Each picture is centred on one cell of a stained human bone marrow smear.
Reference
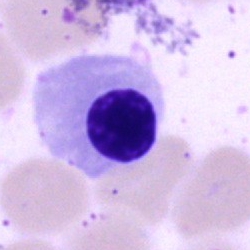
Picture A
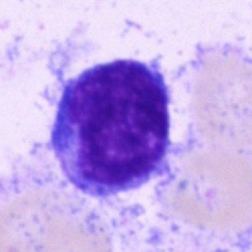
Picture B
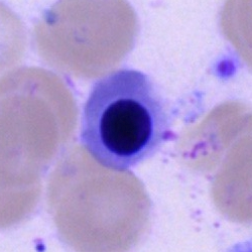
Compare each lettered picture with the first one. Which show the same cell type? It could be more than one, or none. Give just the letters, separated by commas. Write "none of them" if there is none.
B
